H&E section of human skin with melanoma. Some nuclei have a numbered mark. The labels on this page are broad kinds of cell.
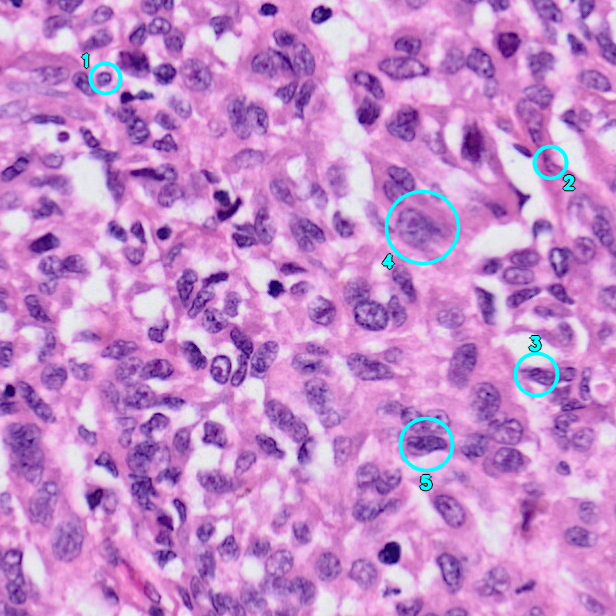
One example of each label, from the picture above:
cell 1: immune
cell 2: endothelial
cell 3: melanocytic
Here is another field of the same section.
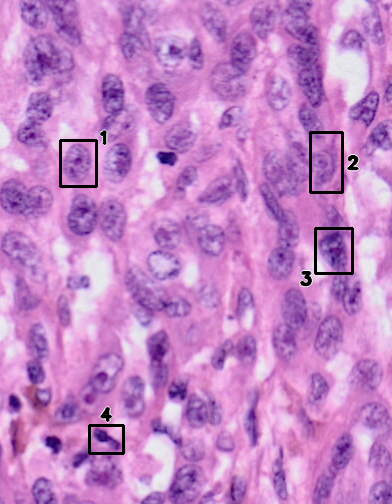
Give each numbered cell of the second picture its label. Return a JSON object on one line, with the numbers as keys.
{"1": "melanocytic", "2": "melanocytic", "3": "melanocytic", "4": "immune"}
